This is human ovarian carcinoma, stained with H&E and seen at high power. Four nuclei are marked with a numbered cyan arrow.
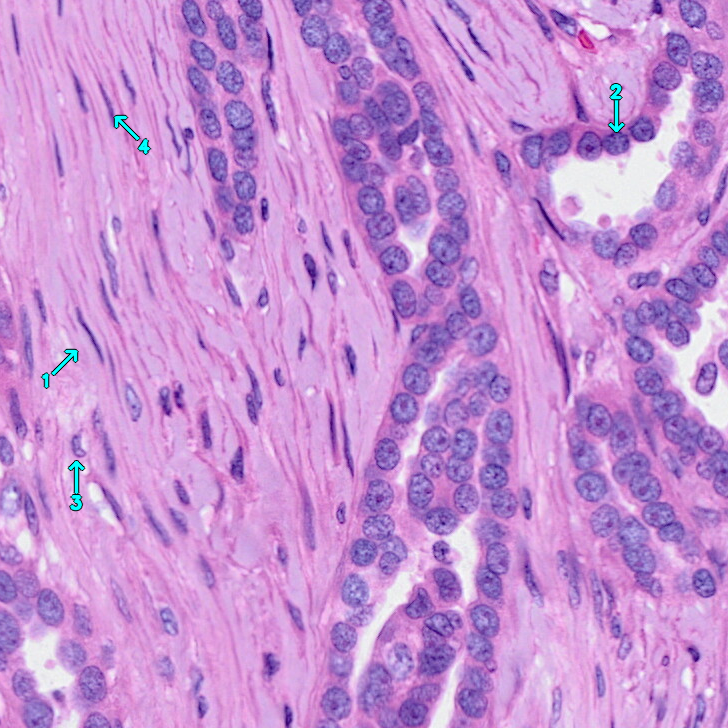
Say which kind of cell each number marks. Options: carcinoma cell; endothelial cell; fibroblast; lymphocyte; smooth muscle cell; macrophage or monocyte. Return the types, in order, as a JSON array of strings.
["fibroblast", "carcinoma cell", "fibroblast", "fibroblast"]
